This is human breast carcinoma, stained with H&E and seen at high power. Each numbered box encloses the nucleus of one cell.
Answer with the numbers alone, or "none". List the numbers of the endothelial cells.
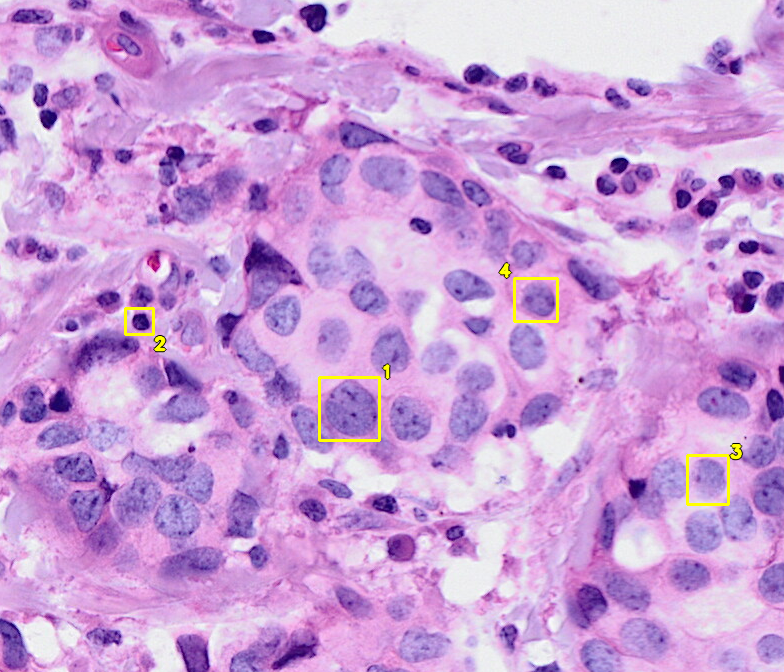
none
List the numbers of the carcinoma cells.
1, 3, 4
